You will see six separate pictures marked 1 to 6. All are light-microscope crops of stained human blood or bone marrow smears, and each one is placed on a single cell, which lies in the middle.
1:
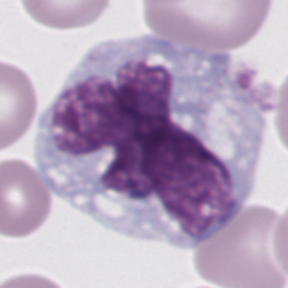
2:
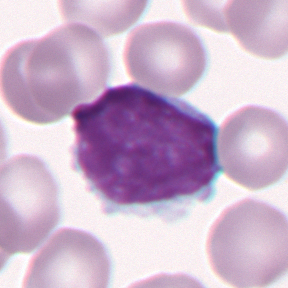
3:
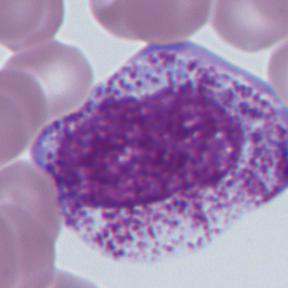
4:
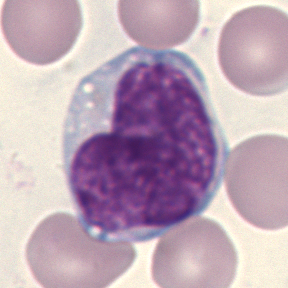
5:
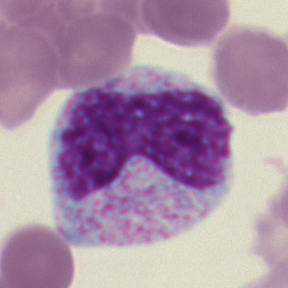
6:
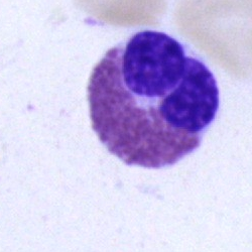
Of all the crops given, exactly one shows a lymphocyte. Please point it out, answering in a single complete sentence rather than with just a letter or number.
It is in crop 2 that a lymphocyte is shown.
